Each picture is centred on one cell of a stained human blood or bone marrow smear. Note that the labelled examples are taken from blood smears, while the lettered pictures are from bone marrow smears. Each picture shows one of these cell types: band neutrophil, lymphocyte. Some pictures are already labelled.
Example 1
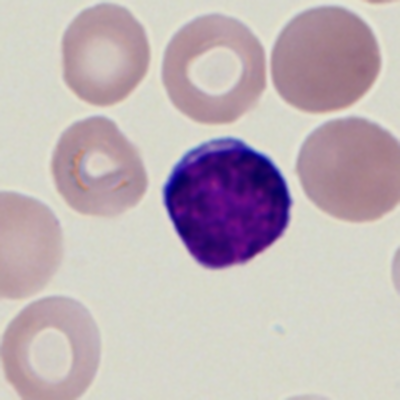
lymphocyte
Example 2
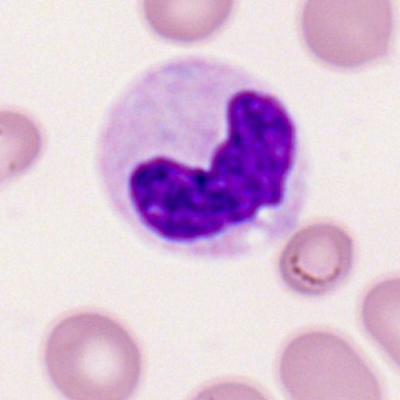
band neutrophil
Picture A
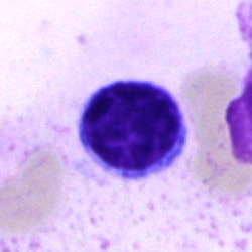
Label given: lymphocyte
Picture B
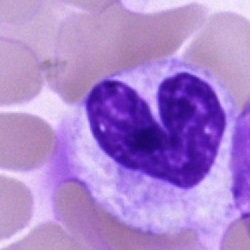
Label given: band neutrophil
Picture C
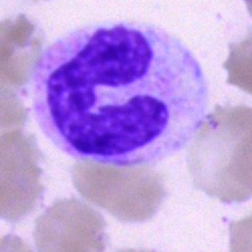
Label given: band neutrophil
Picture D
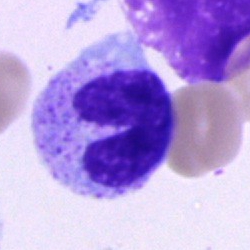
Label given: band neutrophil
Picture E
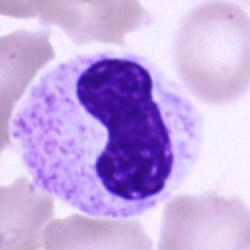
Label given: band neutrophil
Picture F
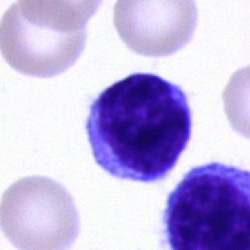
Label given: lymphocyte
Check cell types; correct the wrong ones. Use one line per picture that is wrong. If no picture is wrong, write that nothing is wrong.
All labels are correct.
